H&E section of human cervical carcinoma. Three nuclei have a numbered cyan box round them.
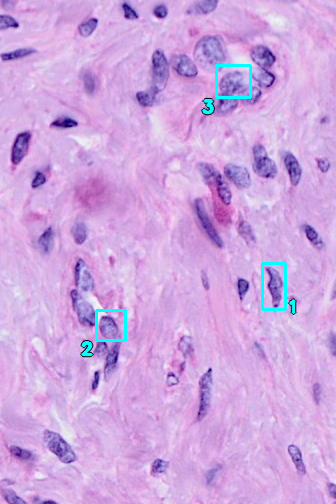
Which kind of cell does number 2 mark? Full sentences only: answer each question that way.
The numeral 2 marks an endothelial cell in this section.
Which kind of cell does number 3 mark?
In this section, the cell tagged 3 is an endothelial cell.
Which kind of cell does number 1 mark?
At number 1, the marked cell is a fibroblast.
